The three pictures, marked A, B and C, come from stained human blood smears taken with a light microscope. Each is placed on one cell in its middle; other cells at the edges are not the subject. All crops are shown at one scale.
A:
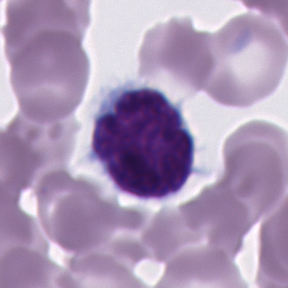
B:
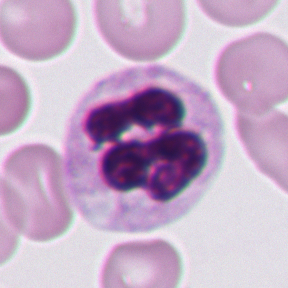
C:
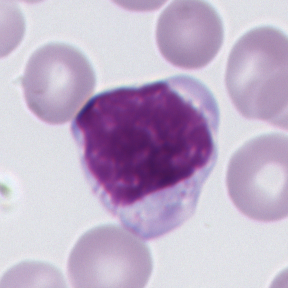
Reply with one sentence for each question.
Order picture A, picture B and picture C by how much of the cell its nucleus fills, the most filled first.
From the most filled to the least, the order is A, C, B.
